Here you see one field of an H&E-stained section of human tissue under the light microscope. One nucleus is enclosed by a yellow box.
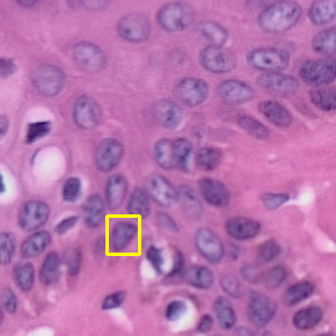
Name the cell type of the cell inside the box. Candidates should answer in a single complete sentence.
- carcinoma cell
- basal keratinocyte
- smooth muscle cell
In this field of tissue, the cell inside the box is a basal keratinocyte.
